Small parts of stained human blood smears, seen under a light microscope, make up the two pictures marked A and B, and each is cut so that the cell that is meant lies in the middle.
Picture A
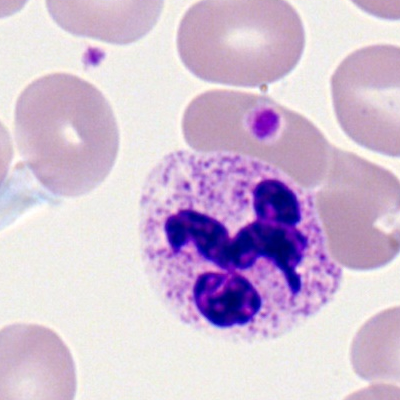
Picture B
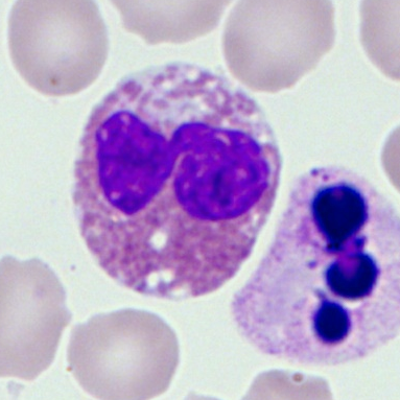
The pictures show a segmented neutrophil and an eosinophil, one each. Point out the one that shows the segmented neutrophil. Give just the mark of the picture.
A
